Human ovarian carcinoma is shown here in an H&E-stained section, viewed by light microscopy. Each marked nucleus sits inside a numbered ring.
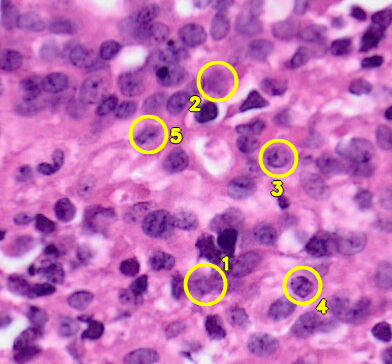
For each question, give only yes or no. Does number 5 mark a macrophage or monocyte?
yes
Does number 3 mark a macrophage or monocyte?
yes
